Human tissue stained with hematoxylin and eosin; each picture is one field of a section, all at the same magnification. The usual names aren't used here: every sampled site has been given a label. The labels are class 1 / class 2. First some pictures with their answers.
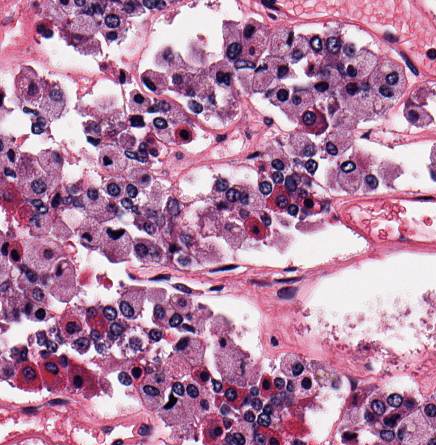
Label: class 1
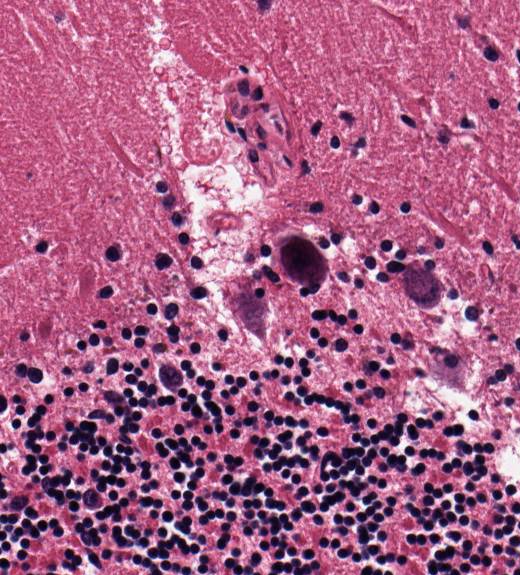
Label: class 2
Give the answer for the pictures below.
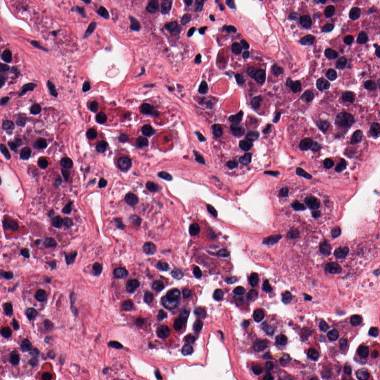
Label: class 1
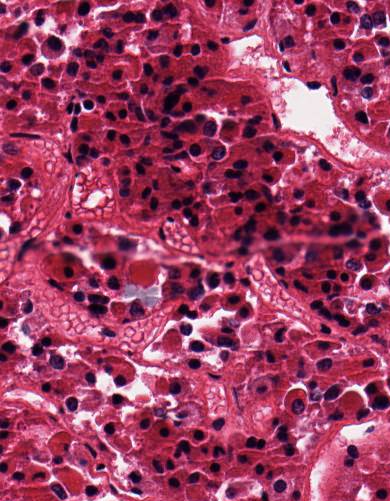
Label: class 1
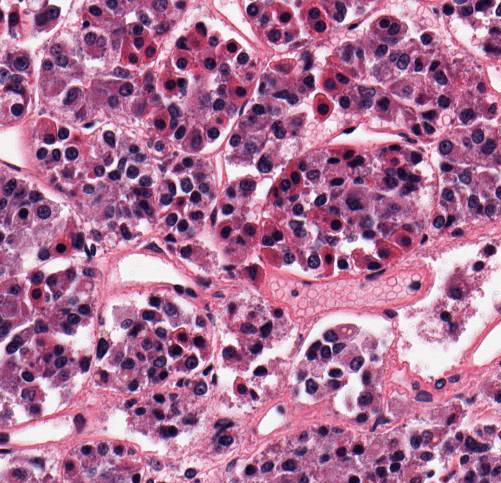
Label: class 1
